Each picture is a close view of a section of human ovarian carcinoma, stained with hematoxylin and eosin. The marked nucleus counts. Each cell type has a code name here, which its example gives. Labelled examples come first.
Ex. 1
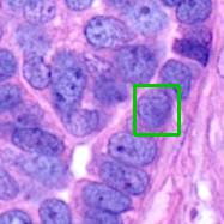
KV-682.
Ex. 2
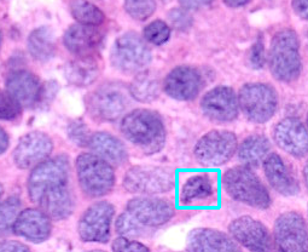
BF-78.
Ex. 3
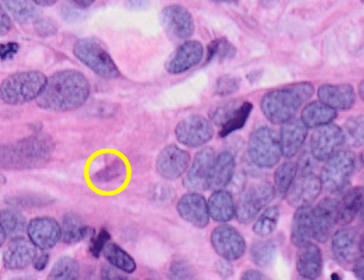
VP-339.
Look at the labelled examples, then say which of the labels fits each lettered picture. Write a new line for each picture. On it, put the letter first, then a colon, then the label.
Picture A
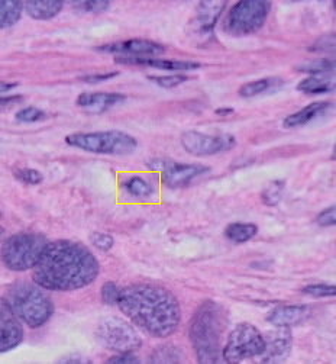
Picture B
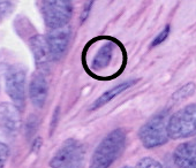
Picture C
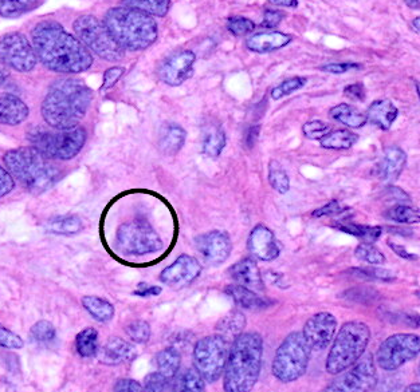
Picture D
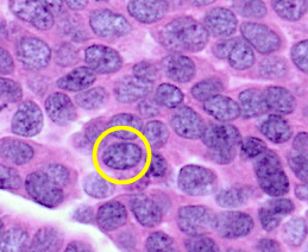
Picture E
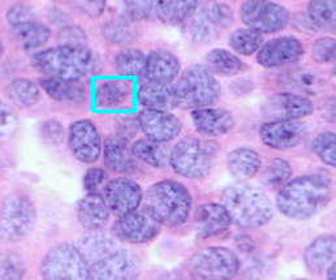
A: VP-339.
B: VP-339.
C: VP-339.
D: KV-682.
E: KV-682.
